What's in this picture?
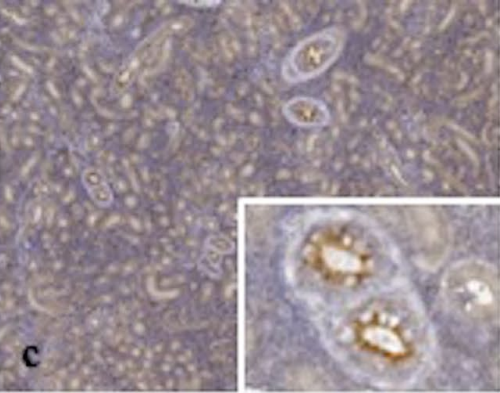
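This is kidney at low magnification, with numerous round and elongated tubule profiles scattered among densely packed, blue-stained interstitial cells. The tubules are lined by epithelial tubular cells whose apical cytoplasm, facing the lumen, is stained brown. The enlarged inset shows this brown band ringing the lumens of tubules, while the rest of the cells stay pale.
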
